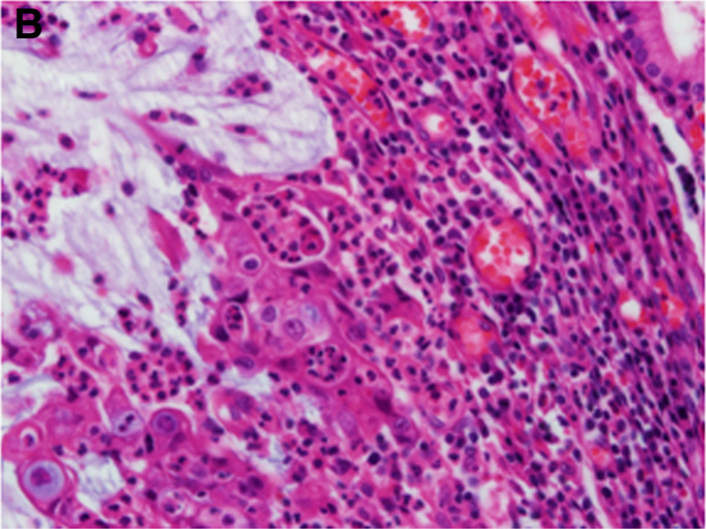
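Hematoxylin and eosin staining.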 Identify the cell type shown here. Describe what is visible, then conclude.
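Numerous small cells with dark round nuclei crowd the stroma around the large cells. Small dark-nucleated cells dominate the right half of the field. So: inflammatory cells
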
